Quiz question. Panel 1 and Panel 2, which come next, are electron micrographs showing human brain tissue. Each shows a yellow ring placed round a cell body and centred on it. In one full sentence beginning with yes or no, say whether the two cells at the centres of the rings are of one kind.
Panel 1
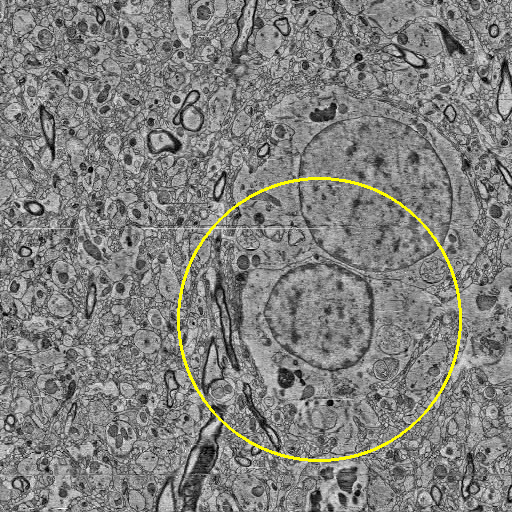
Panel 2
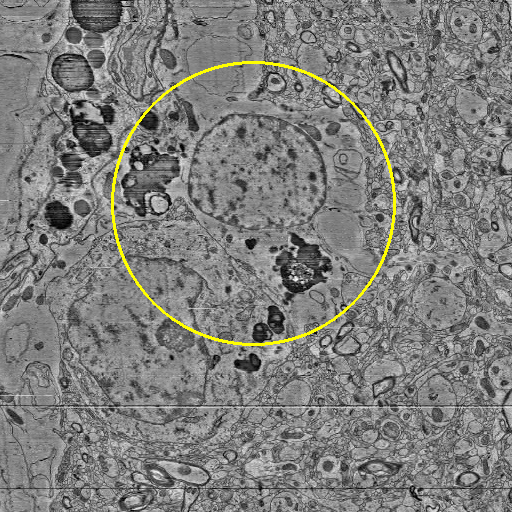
Yes, Panel 1 and Panel 2 show one kind of cell at the centre of the ring.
